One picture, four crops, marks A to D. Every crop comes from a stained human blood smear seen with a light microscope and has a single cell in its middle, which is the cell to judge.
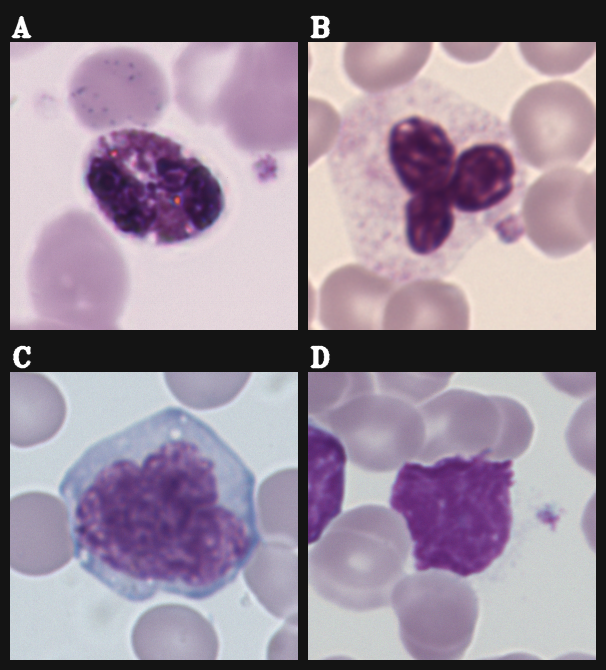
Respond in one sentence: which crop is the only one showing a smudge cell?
Of all the crops, crop D is the one showing a smudge cell.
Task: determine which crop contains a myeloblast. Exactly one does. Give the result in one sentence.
The crop marked C is the one that shows a myeloblast.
